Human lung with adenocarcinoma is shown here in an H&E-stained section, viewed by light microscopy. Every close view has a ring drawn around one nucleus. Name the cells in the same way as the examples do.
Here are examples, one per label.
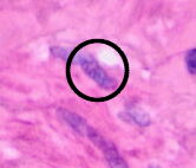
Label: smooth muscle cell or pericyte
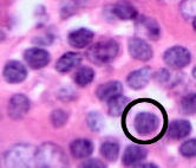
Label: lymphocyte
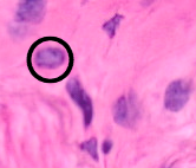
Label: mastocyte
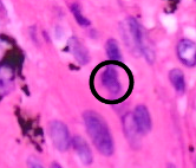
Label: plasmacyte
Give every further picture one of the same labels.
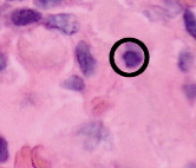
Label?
lymphocyte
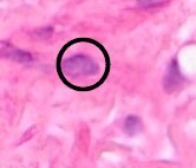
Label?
smooth muscle cell or pericyte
